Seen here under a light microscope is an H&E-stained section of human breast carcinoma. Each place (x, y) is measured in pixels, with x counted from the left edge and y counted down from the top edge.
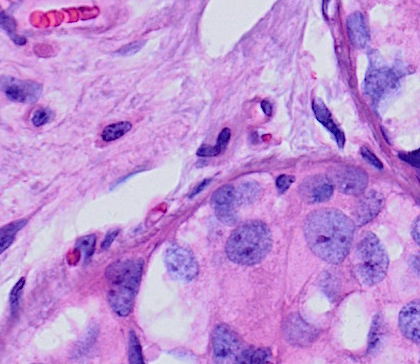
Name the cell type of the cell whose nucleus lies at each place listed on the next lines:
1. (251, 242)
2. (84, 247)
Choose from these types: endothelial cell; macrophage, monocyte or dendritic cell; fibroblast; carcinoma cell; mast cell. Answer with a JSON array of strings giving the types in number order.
["carcinoma cell", "endothelial cell"]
